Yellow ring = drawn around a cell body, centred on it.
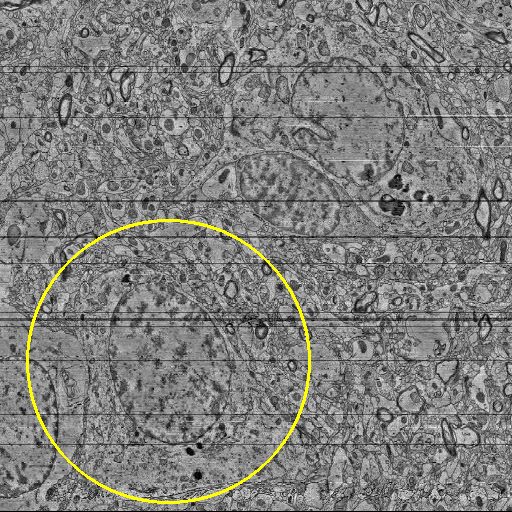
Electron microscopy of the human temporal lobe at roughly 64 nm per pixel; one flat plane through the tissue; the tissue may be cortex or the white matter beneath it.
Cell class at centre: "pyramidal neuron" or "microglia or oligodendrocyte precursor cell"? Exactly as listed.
pyramidal neuron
